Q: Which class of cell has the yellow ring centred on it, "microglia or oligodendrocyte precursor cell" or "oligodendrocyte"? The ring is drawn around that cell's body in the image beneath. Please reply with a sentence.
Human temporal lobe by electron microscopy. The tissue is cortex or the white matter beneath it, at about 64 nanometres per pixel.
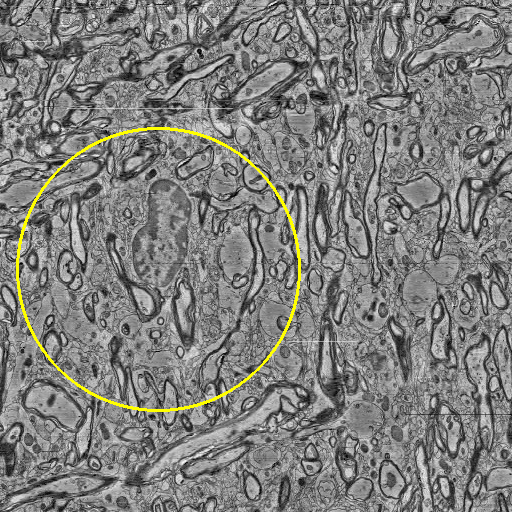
It is centred on a microglial cell or oligodendrocyte precursor cell.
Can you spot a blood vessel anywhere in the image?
No, the image shows no blood vessel.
